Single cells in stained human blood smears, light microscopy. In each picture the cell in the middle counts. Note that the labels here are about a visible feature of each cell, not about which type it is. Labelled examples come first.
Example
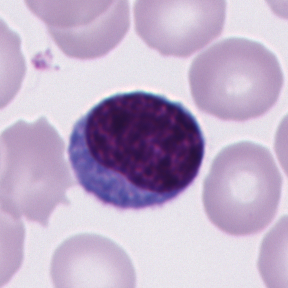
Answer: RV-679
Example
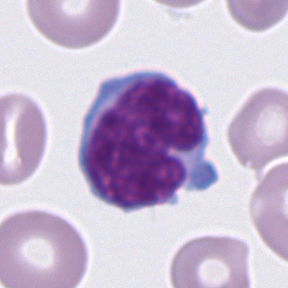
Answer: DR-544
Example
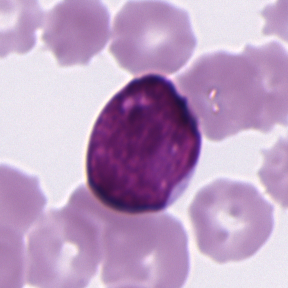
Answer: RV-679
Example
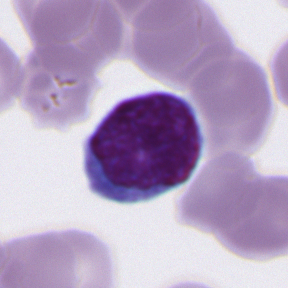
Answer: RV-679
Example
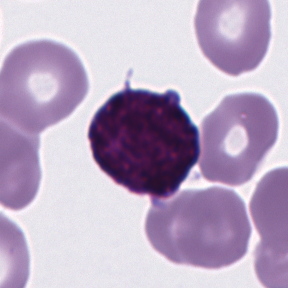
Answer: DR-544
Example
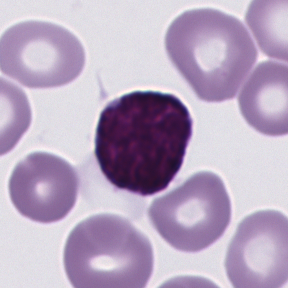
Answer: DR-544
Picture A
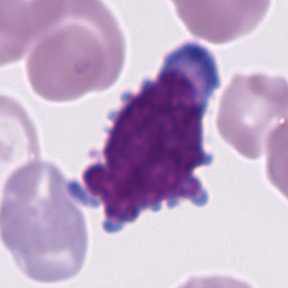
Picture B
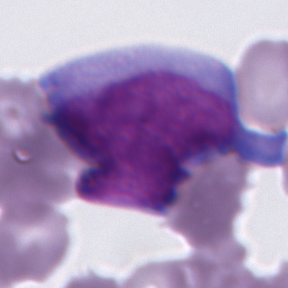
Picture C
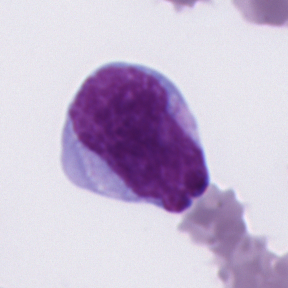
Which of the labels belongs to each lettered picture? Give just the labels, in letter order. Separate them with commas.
DR-544, DR-544, RV-679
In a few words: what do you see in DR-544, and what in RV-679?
In DR-544: ragged outline or projections. In RV-679: smooth outline.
